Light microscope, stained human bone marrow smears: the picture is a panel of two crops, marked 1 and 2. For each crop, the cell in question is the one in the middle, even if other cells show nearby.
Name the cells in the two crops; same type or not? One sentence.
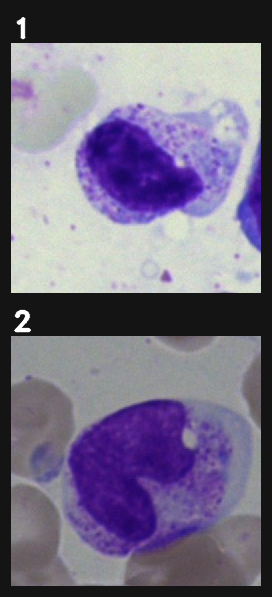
Yes, the cells found in the middle of both crops are metamyelocytes.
